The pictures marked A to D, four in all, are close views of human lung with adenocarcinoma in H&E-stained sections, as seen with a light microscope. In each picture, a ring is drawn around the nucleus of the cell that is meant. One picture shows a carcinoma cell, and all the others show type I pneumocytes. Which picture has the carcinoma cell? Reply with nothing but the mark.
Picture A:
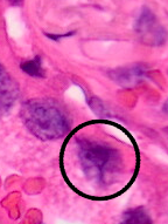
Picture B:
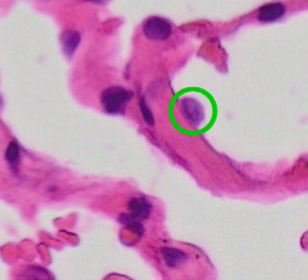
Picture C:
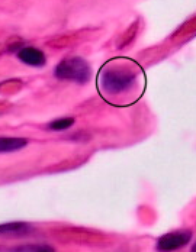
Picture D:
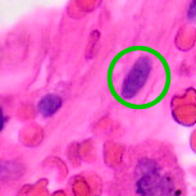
A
